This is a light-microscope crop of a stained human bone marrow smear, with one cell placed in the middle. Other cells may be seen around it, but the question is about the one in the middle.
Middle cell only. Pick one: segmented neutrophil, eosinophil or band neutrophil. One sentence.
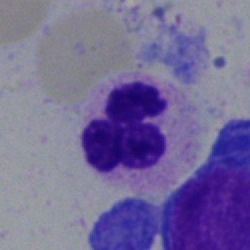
This crop is built around a segmented neutrophil at its centre.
